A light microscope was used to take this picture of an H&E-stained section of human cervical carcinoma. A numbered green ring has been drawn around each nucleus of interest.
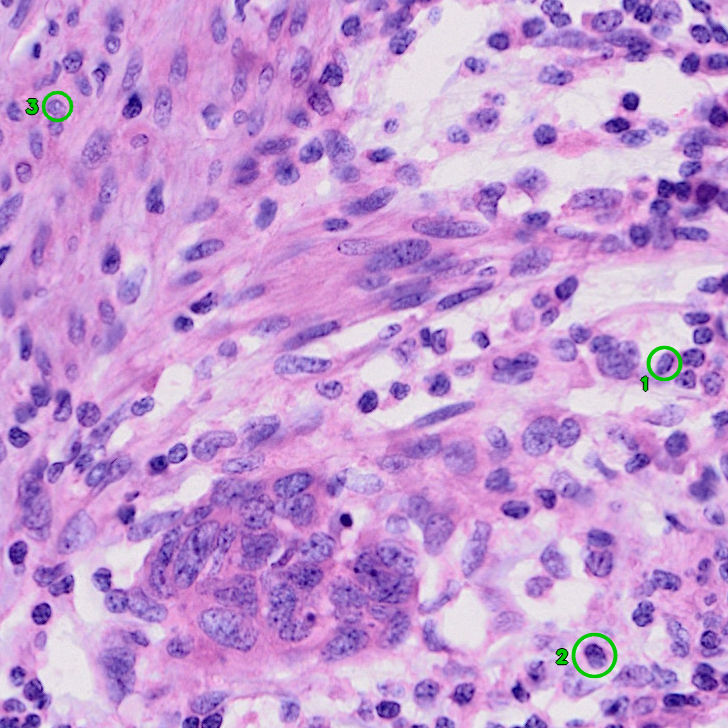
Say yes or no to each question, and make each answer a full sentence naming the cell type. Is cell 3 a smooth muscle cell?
Yes, what number 3 marks is a smooth muscle cell.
